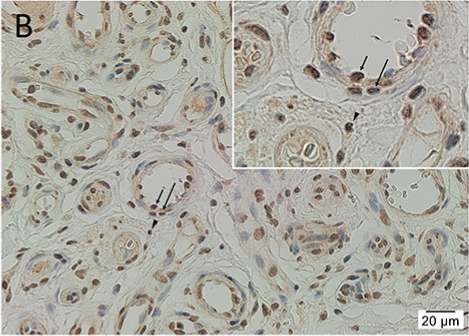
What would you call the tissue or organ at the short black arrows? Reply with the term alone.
Endothelium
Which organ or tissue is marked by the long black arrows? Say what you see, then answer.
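The long arrow points to a nucleus in the wall just outside the luminal lining.
Hence: media.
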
